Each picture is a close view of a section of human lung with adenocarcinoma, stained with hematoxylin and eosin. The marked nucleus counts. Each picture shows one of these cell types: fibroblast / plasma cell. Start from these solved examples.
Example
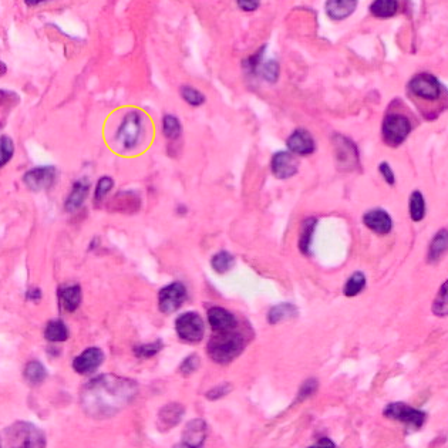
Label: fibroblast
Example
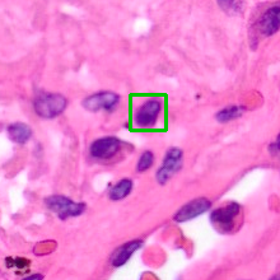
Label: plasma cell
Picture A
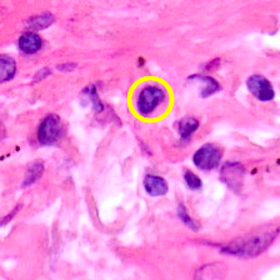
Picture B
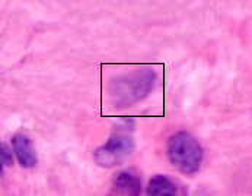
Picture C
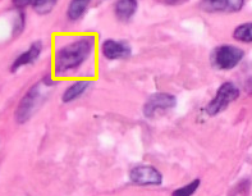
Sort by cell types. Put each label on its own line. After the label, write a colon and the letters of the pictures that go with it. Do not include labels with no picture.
fibroblast: B
plasma cell: A, C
